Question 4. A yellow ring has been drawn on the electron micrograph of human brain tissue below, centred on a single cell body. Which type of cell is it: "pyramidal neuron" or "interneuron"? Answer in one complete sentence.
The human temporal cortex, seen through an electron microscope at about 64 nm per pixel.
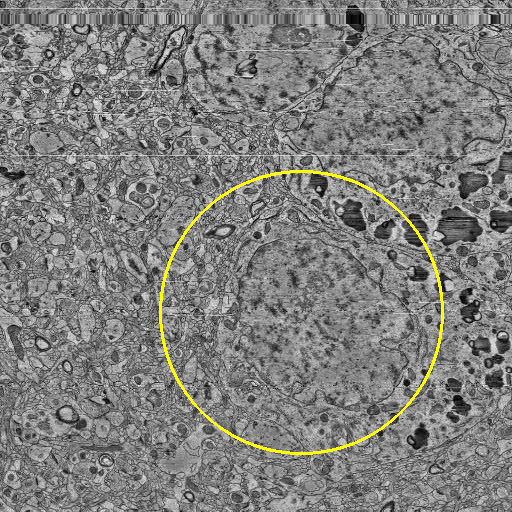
This cell body belongs to an interneuron.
